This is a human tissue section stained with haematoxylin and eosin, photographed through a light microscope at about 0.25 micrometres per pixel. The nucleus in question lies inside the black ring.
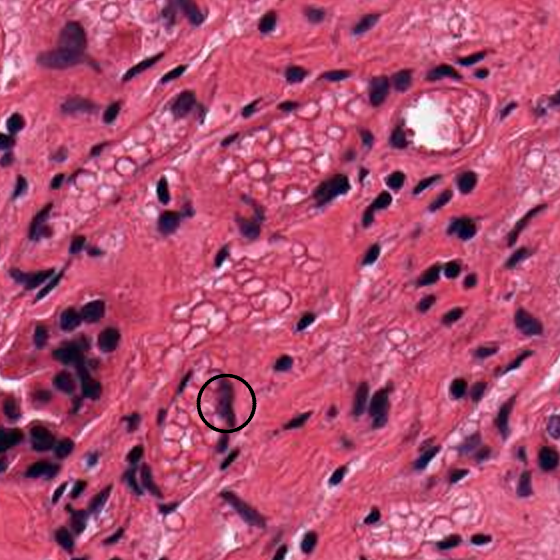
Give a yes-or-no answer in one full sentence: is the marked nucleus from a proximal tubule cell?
No, the marked nucleus is not that of a proximal tubule cell but that of a supporting cell.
